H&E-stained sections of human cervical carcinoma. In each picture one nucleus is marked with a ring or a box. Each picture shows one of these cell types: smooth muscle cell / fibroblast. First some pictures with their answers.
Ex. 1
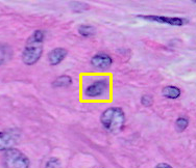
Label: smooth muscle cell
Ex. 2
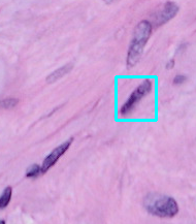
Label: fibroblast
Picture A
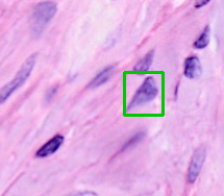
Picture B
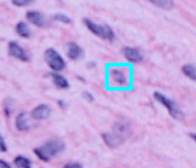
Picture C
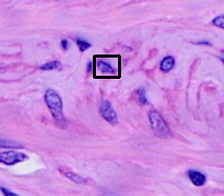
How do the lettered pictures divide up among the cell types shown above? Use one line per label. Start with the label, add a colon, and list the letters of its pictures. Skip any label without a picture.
smooth muscle cell: B, C
fibroblast: A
